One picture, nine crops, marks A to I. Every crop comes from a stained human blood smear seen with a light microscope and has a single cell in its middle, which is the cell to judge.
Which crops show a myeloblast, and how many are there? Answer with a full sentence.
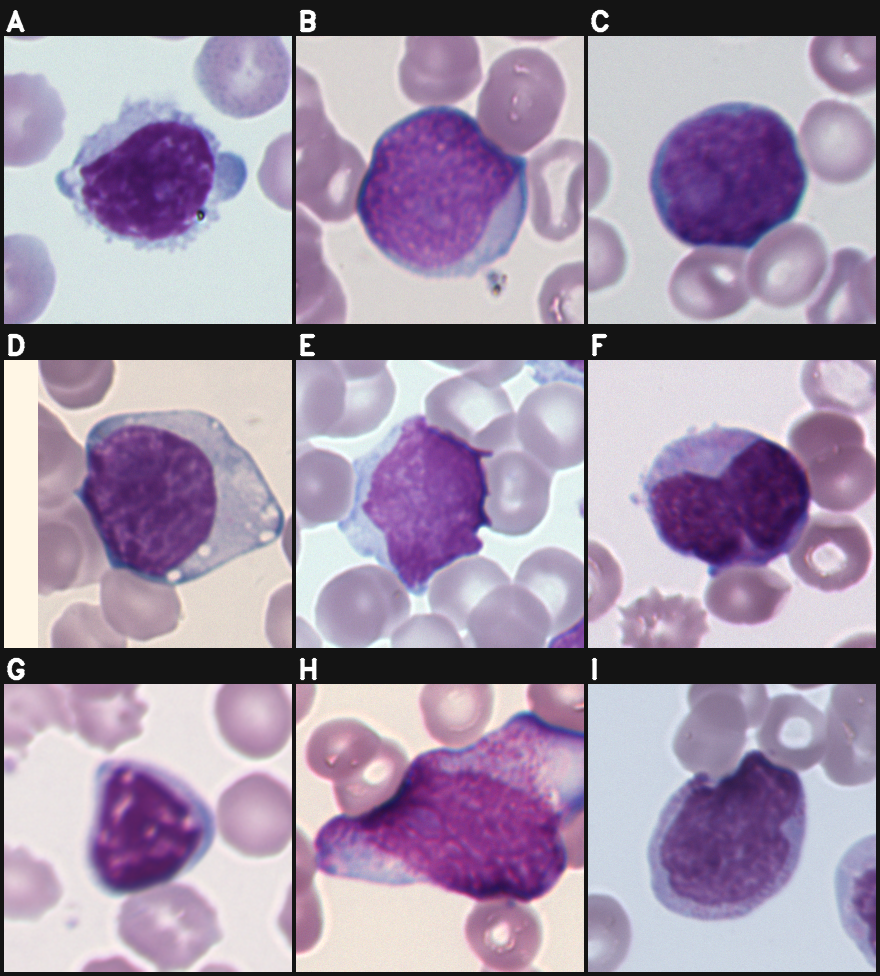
In total, three crops show myeloblasts, namely B, C and D.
